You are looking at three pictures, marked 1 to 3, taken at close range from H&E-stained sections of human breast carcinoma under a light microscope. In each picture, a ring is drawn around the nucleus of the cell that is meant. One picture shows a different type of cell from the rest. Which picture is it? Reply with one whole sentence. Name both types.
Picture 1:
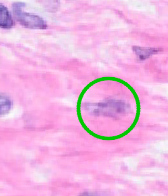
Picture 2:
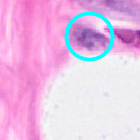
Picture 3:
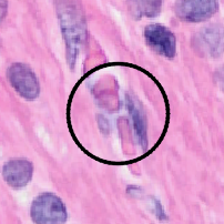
Picture 1 differs, because its cell is a fibroblast and the rest are endothelial cells.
